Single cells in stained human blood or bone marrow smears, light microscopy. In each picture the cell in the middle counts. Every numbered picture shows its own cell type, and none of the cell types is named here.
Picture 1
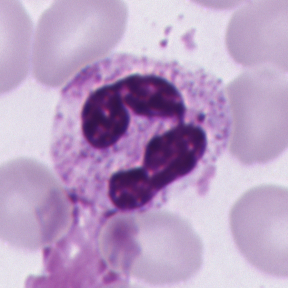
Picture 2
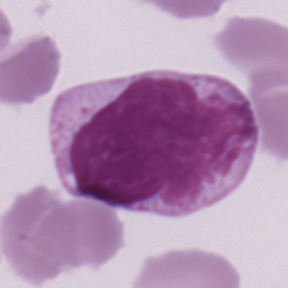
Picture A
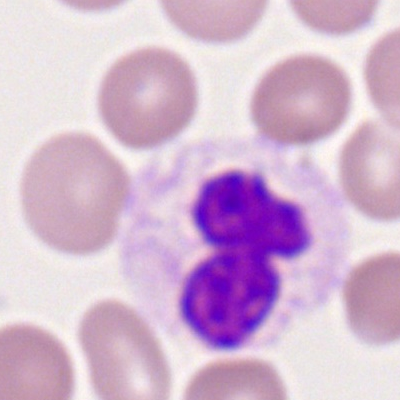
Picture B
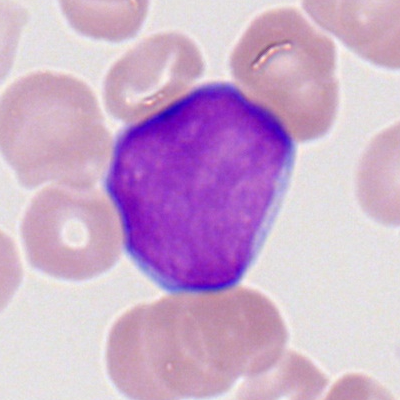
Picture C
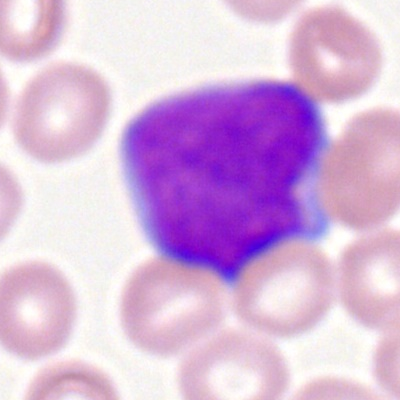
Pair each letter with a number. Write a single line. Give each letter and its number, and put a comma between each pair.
A 1, B 2, C 2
